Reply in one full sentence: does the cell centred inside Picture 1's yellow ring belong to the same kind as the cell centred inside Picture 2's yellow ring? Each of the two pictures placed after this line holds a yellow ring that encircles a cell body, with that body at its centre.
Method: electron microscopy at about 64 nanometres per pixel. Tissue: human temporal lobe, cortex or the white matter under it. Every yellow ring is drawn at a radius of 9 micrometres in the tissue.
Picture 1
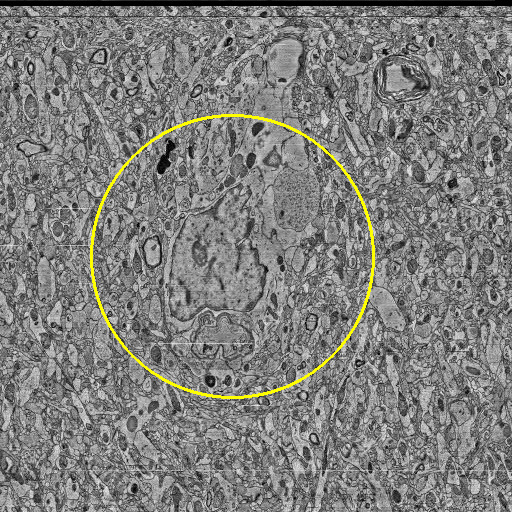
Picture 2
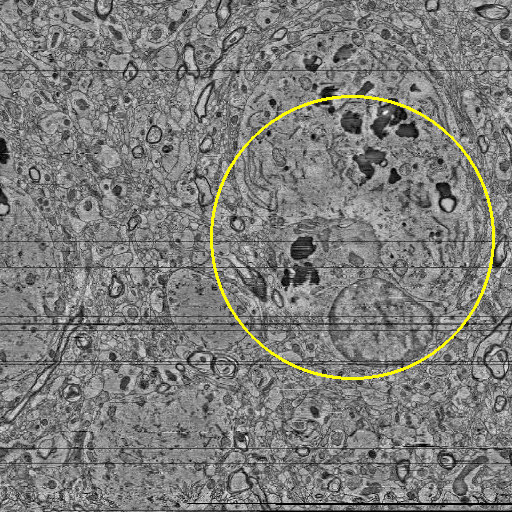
No, the ring-centred cells in Picture 1 and Picture 2 are of two separate kinds.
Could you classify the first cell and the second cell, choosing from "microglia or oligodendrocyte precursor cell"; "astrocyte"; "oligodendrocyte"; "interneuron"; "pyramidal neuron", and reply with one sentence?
The second cell is an oligodendrocyte, while the first is a microglial cell or oligodendrocyte precursor cell.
